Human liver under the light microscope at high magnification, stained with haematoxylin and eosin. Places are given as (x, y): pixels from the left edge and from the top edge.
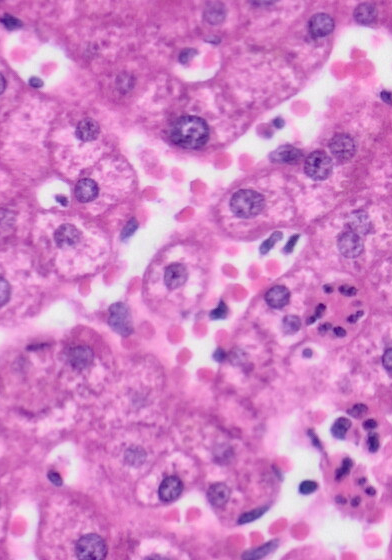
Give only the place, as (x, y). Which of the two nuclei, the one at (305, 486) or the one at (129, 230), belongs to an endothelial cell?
(129, 230)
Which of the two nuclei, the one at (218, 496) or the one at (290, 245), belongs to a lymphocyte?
(290, 245)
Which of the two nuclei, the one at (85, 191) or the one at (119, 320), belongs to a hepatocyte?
(85, 191)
